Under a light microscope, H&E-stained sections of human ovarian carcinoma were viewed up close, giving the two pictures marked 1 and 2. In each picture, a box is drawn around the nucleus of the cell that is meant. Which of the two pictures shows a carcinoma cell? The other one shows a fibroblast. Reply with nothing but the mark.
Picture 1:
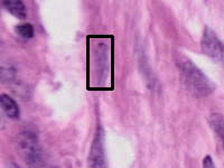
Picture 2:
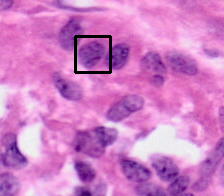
2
